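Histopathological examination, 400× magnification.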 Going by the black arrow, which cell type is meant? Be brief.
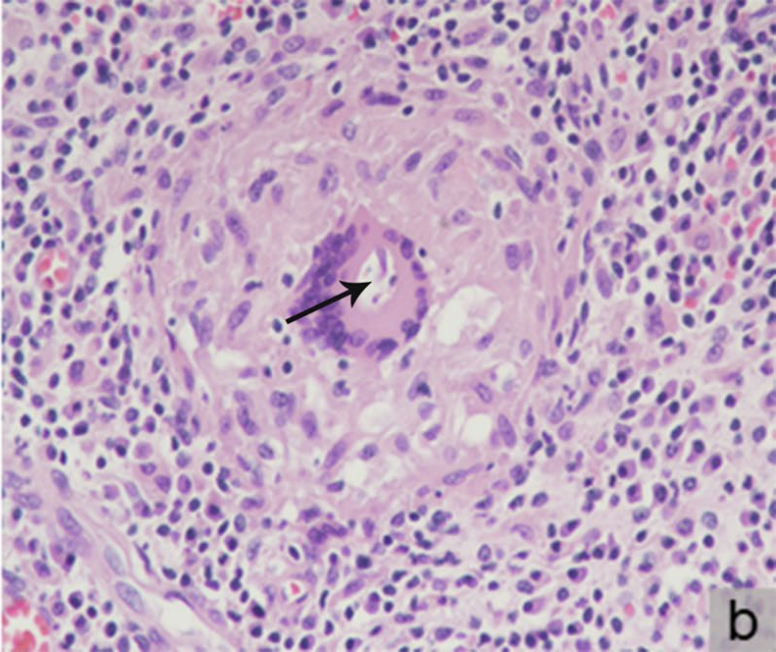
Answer: multinucleated giant cell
